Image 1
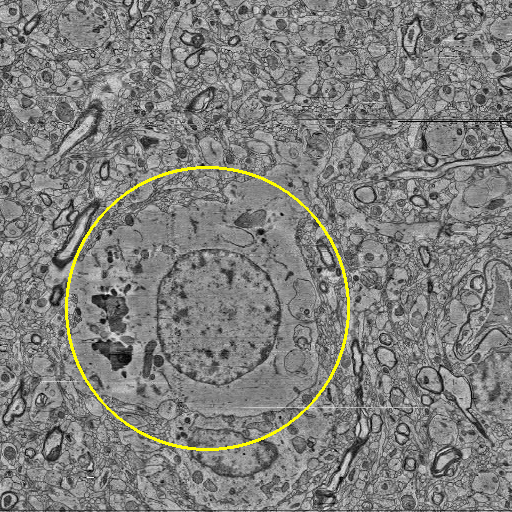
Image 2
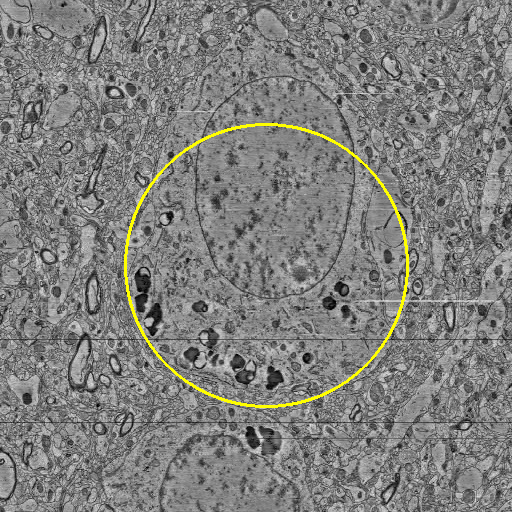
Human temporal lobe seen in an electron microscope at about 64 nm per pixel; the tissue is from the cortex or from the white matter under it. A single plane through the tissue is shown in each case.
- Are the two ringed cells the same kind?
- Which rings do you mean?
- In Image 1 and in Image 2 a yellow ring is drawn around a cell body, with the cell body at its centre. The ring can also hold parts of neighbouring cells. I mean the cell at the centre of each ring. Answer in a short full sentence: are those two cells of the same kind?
No, the cells are of two kinds.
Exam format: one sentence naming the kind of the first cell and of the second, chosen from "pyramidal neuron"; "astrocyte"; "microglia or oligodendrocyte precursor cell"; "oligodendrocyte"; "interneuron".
The first picture's cell is an astrocyte, and the second picture's cell is a pyramidal neuron.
